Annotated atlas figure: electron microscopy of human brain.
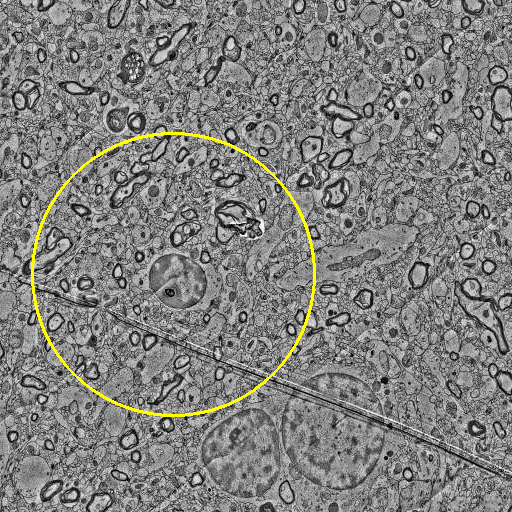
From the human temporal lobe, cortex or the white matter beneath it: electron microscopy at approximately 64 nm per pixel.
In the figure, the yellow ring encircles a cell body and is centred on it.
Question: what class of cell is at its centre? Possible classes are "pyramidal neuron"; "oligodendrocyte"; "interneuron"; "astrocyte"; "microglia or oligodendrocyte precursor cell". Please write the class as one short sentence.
The yellow ring is drawn around a microglial cell or oligodendrocyte precursor cell.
